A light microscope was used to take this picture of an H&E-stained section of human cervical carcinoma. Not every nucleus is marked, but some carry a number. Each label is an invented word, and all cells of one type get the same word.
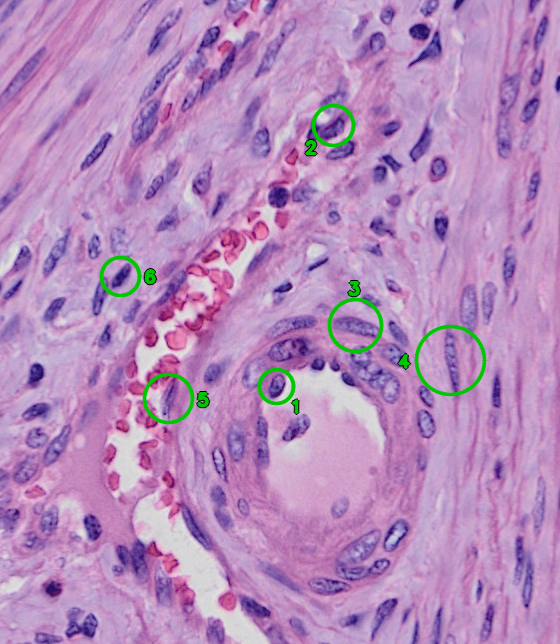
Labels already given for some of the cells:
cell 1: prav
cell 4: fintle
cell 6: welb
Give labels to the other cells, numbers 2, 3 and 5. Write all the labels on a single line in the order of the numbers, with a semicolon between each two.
prav; fintle; prav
